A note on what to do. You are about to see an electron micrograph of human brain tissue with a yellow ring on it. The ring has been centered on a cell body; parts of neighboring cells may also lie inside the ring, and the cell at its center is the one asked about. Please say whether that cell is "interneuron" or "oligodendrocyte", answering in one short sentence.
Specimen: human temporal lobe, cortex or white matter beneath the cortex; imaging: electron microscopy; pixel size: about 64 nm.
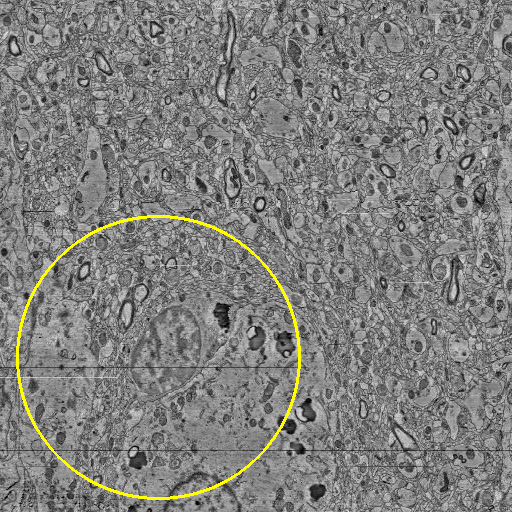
The yellow ring sits on an oligodendrocyte.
